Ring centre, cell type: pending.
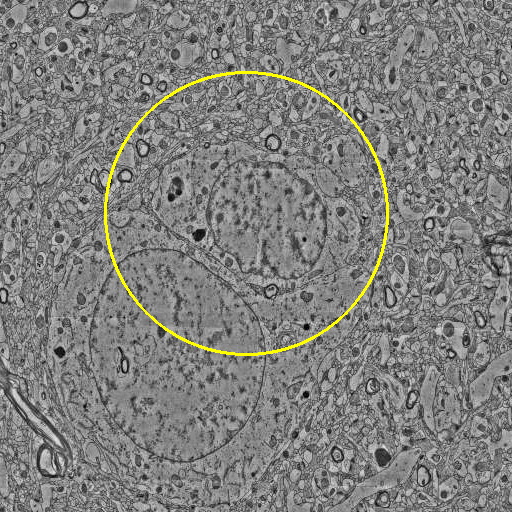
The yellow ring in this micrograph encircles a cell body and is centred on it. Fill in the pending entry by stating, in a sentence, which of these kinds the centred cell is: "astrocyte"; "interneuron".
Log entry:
The centred cell is recorded as an interneuron.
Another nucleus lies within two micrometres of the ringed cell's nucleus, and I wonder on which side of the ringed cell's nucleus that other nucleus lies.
That other nucleus appears to the lower left of it.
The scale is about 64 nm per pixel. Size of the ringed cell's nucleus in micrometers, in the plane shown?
In this plane the nucleus measures roughly 8 by 7 micrometres.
